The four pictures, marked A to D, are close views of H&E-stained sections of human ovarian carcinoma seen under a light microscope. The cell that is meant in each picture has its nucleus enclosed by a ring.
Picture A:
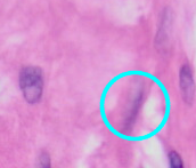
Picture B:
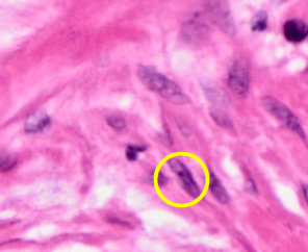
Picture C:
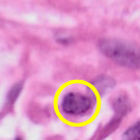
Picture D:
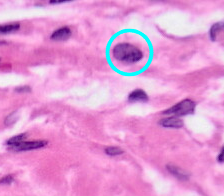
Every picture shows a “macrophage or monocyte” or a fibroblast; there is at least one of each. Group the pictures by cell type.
A: fibroblast
B: fibroblast
C: macrophage or monocyte
D: macrophage or monocyte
